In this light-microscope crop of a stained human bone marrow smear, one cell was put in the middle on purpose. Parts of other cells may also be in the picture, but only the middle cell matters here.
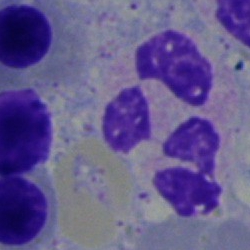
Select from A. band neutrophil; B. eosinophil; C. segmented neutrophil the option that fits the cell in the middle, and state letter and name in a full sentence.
The cell centred in the crop is a segmented neutrophil, and the correct option is thus C.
